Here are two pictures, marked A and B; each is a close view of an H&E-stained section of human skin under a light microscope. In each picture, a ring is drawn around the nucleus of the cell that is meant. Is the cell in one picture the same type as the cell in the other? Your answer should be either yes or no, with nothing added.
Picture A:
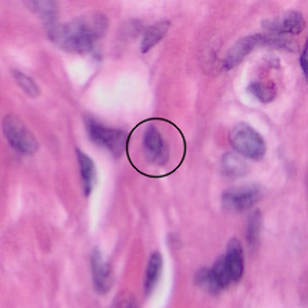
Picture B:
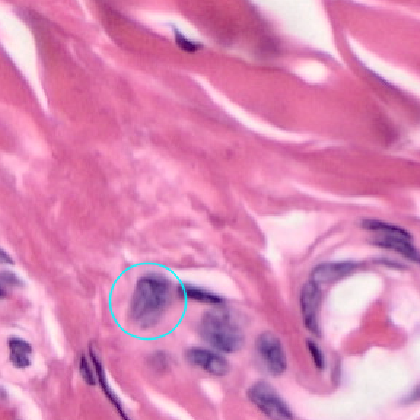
no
